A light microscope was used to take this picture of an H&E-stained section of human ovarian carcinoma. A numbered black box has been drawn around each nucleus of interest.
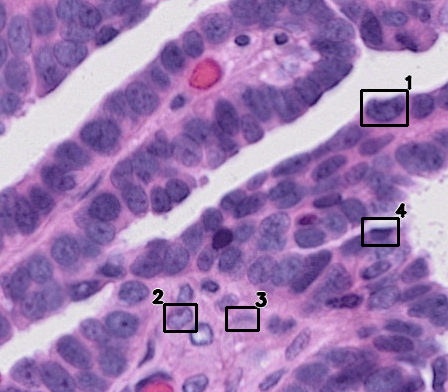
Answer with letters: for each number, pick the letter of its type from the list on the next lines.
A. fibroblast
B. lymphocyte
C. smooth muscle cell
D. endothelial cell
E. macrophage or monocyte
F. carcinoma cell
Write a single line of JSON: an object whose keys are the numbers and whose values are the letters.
{"1": "F", "2": "A", "3": "A", "4": "F"}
